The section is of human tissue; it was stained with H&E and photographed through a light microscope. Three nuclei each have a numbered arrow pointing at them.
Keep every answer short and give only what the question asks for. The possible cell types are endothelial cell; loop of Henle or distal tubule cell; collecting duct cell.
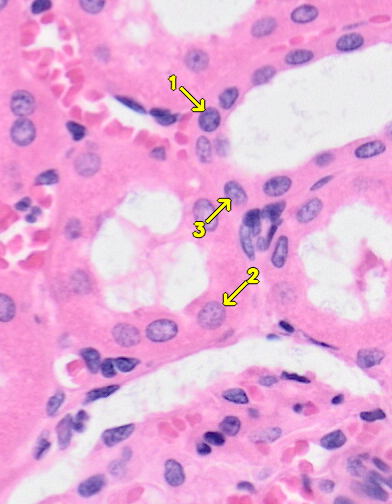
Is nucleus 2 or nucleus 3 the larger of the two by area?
2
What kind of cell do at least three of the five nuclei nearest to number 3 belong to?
endothelial cell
